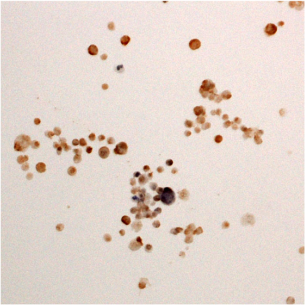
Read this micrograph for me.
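The cells are fewer than in a crowded culture and lie in scattered clusters and short chains separated by empty slide. They are small and rounded, many appearing shrunken, with brown staining filling the cell. In the lower central cluster a few cells remain dark blue, one of them larger than its neighbours. Isolated brown cells also lie singly across the field, some darker and more compact than others.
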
